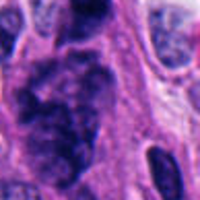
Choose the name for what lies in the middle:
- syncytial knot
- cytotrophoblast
syncytial knot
